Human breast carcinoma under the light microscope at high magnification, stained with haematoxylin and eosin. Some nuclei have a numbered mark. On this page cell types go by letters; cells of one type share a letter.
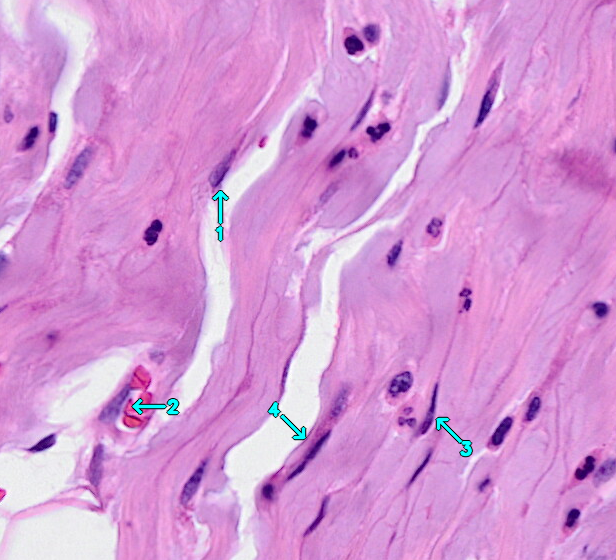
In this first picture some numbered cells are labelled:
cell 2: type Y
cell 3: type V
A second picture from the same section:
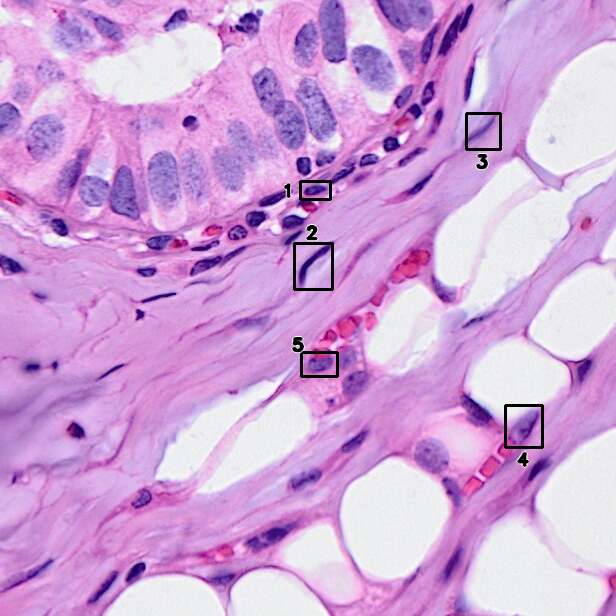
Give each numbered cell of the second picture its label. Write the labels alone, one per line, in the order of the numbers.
type Y
type V
type V
type Y
type Y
